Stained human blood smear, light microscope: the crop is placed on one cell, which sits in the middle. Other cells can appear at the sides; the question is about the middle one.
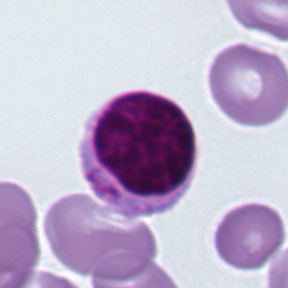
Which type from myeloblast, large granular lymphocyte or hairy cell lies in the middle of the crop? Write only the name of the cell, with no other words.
large granular lymphocyte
